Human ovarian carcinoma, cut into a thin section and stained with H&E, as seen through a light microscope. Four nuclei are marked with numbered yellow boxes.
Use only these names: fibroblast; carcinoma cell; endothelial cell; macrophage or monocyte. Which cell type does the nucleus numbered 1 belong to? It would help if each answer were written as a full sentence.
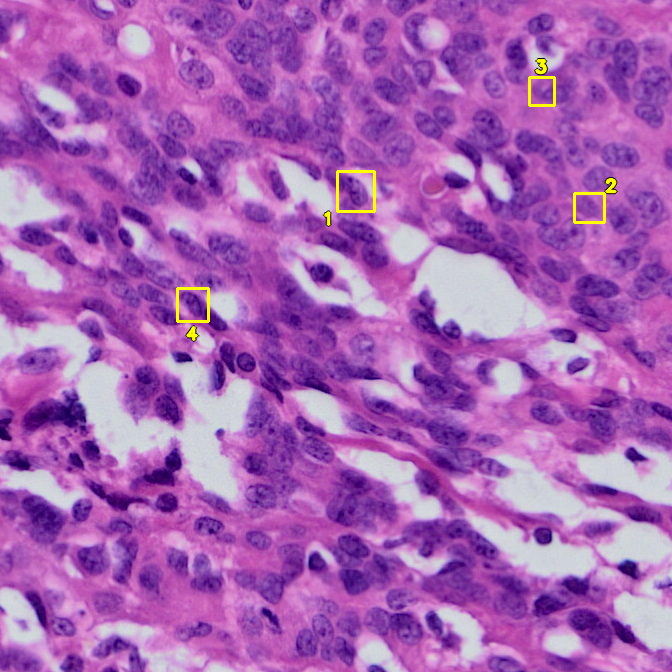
The cell indicated by marker 1 is a macrophage or monocyte in this section.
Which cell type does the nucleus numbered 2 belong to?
The nucleus marked 2 is the nucleus of a carcinoma cell.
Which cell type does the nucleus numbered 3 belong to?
The numeral 3 marks a carcinoma cell in this section.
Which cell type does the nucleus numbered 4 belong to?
The cell given label 4 is a carcinoma cell.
